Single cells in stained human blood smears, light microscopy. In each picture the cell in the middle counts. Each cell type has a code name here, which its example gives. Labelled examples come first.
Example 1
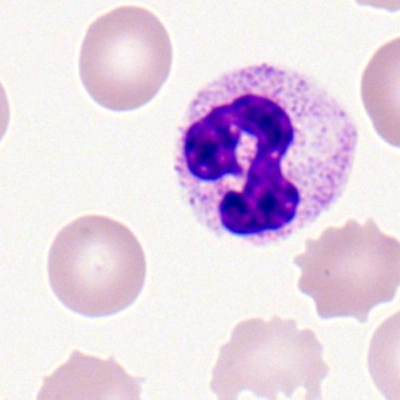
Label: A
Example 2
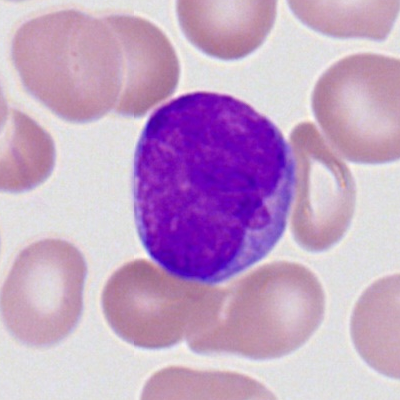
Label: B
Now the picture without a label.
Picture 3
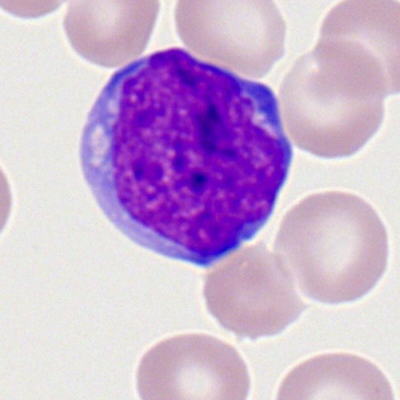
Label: B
